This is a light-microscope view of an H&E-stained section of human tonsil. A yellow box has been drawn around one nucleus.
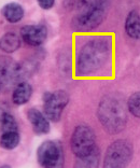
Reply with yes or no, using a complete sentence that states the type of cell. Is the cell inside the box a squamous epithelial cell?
No, the cell inside the box counts as an endothelial cell rather than as a squamous epithelial cell.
